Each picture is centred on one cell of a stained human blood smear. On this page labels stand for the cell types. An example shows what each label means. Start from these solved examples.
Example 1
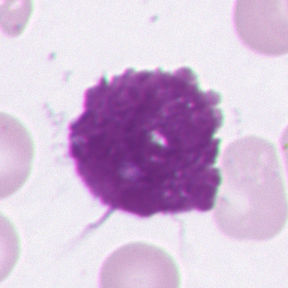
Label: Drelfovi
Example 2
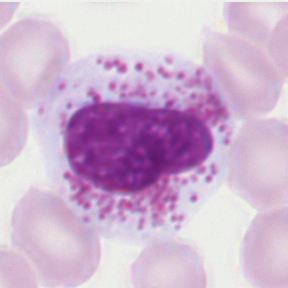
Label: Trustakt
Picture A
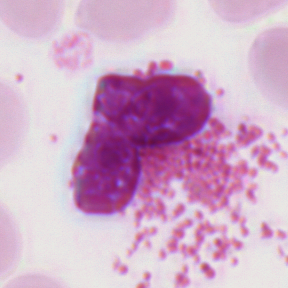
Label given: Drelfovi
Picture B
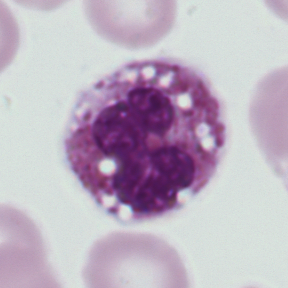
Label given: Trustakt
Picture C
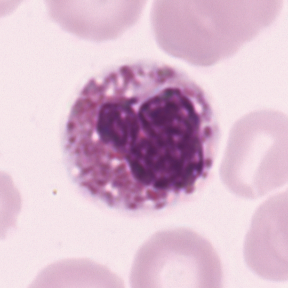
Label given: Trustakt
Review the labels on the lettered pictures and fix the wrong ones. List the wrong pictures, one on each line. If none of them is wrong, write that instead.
A: Trustakt, not Drelfovi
